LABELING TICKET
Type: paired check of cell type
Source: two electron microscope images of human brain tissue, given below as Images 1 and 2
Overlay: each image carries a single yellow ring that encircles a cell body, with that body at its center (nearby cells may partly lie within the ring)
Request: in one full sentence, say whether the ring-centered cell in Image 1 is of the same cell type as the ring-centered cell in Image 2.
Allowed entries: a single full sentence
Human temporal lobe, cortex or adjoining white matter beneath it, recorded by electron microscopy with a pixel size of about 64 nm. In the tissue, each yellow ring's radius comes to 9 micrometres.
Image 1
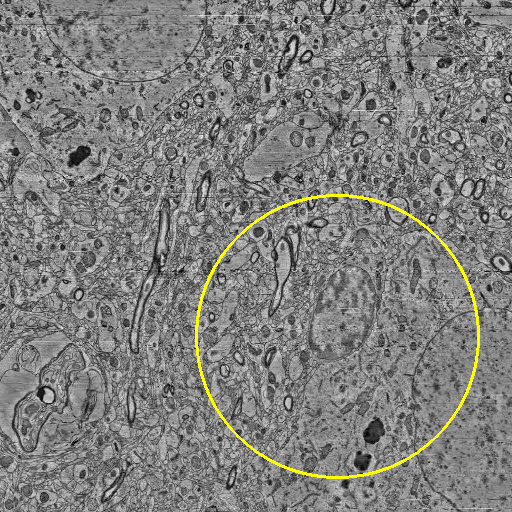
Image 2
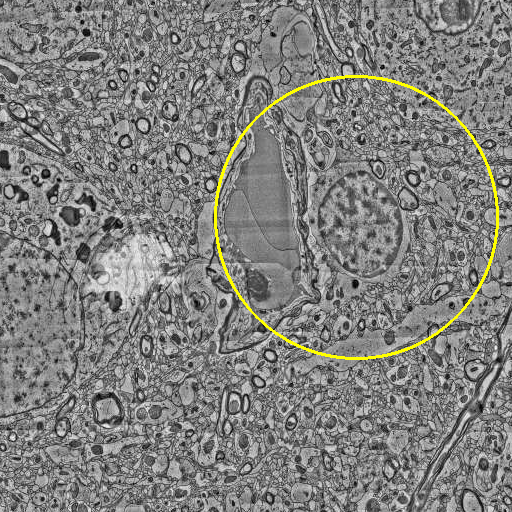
Yes, the cells centered in the rings of Image 1 and Image 2 share one type.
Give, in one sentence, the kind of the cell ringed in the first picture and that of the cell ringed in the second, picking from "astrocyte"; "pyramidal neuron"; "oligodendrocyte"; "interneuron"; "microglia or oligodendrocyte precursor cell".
Each of the ringed cells, first and second, is an oligodendrocyte.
